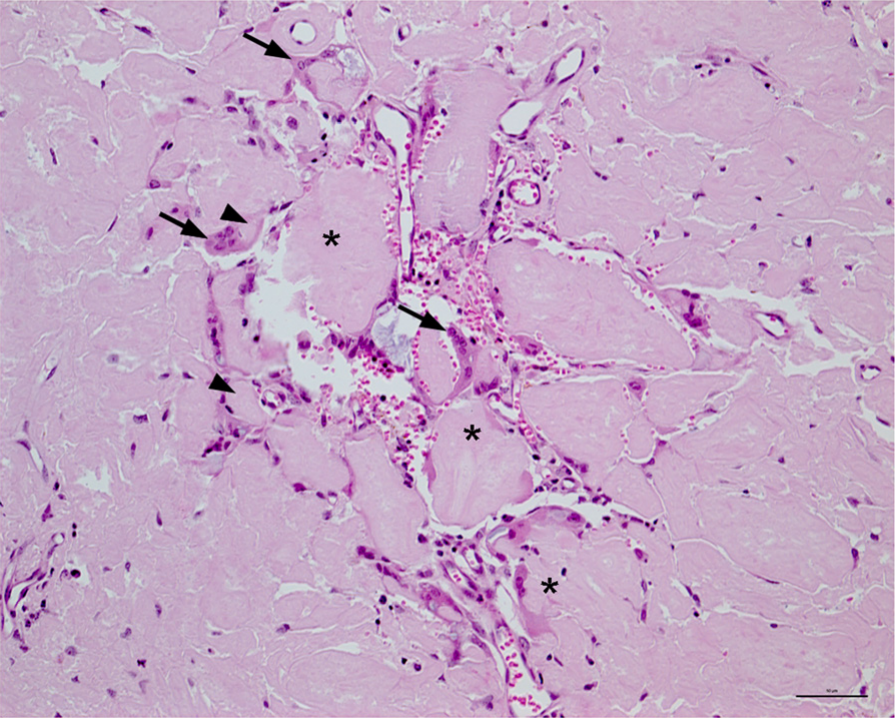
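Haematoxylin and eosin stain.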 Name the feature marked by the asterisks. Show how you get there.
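Amyloid deposits. The asterisks mark large, pale pink, homogeneous masses without nuclei. The masses are rimmed by nucleated cells and small vessels.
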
